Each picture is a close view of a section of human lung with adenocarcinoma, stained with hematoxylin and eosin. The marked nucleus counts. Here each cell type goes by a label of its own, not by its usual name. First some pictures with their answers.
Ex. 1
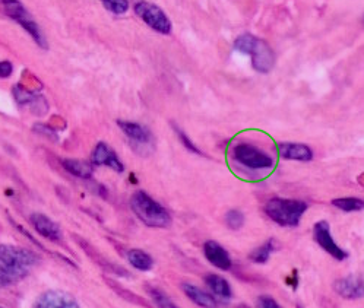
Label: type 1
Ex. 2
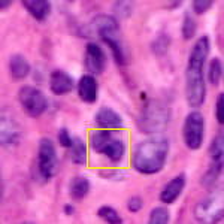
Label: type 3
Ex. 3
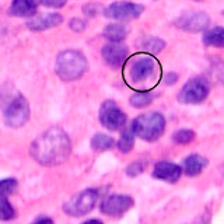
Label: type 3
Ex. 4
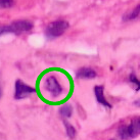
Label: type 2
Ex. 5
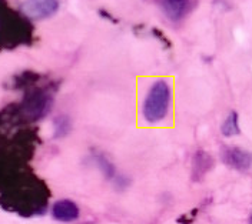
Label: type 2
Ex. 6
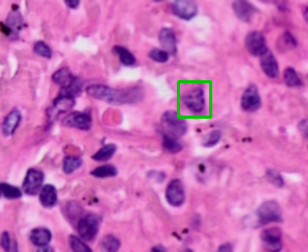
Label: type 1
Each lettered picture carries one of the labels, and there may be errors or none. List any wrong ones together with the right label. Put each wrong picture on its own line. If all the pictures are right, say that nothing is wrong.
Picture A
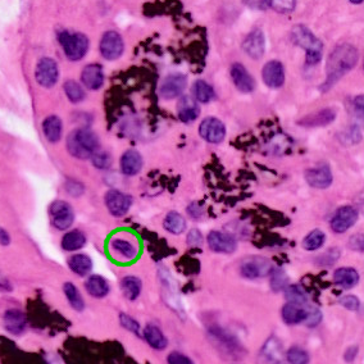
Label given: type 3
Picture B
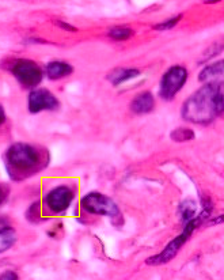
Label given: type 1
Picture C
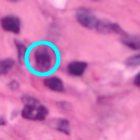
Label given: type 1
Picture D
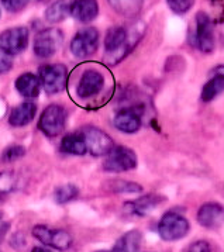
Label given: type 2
D: not type 2 but type 3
